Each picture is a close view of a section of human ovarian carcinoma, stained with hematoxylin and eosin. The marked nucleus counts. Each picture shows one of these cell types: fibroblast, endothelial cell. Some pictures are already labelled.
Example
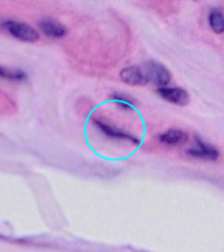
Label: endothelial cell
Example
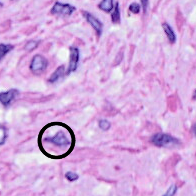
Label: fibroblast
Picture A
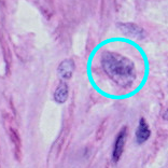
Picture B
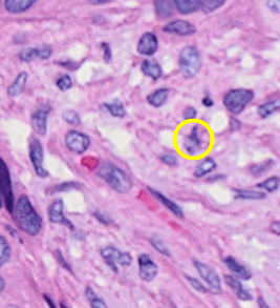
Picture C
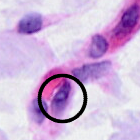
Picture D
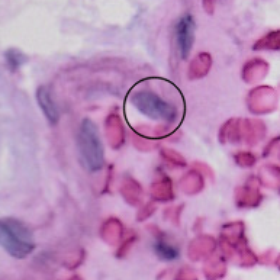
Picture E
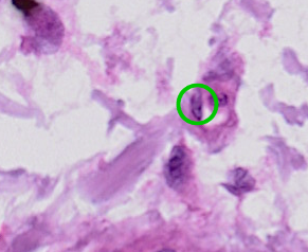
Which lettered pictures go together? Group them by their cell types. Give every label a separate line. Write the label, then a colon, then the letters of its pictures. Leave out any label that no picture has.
fibroblast: A, B
endothelial cell: C, D, E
